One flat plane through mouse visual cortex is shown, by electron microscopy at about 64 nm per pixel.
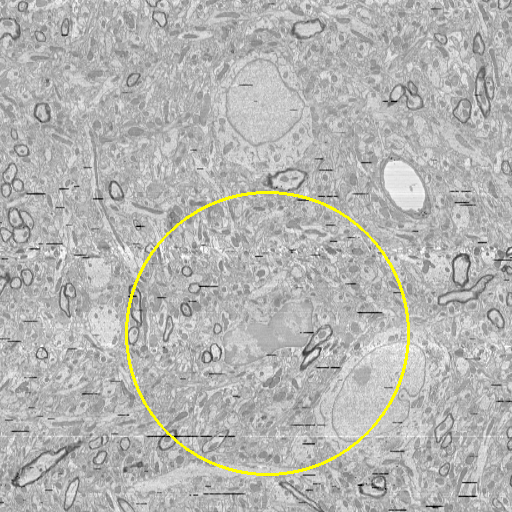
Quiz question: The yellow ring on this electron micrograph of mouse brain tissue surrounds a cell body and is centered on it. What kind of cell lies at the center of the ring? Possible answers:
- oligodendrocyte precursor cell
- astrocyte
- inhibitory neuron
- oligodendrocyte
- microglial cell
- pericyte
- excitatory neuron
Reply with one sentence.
The ring's center lies on a microglial cell.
